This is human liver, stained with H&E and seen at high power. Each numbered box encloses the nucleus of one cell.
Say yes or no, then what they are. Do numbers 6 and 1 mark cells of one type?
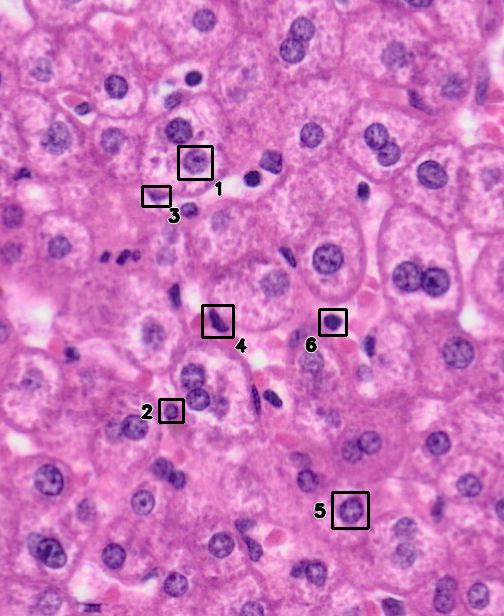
No, cell number 6 is a lymphocyte, and cell number 1 is a hepatocyte.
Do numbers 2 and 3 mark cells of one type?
No, hold on, cell 2 is a Kupffer cell and cell 3 is an endothelial cell.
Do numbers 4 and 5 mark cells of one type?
No, cell 4 is an endothelial cell, and cell 5, for its part, is a hepatocyte.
